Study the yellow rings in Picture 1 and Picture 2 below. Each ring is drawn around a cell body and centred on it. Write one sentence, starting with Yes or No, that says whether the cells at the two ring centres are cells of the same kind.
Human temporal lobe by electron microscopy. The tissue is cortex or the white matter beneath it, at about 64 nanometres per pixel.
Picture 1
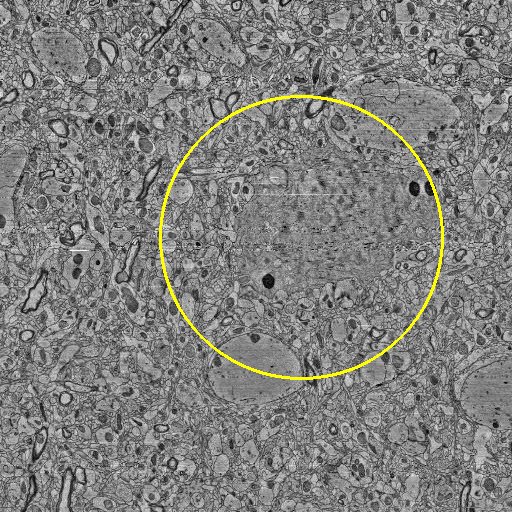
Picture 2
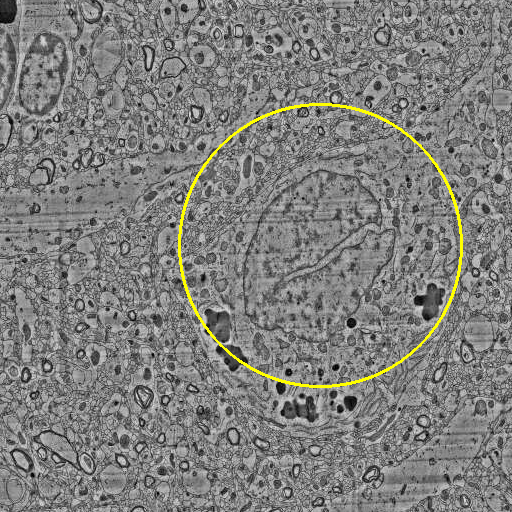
Yes, the cells at both ring centres are of the same kind.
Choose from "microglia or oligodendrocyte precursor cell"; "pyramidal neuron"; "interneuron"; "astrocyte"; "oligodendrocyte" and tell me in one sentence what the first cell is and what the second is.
Both the first and the second picture show an interneuron in the ring.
